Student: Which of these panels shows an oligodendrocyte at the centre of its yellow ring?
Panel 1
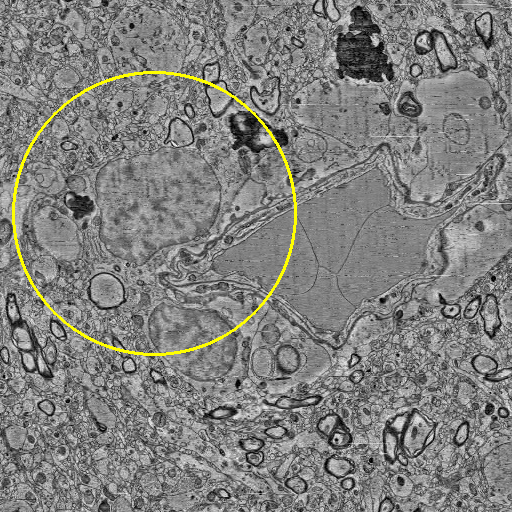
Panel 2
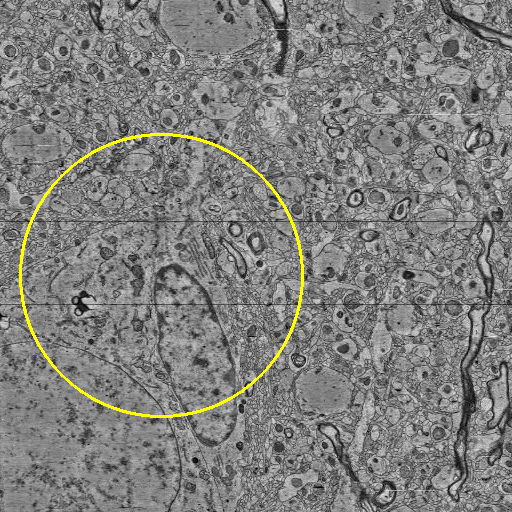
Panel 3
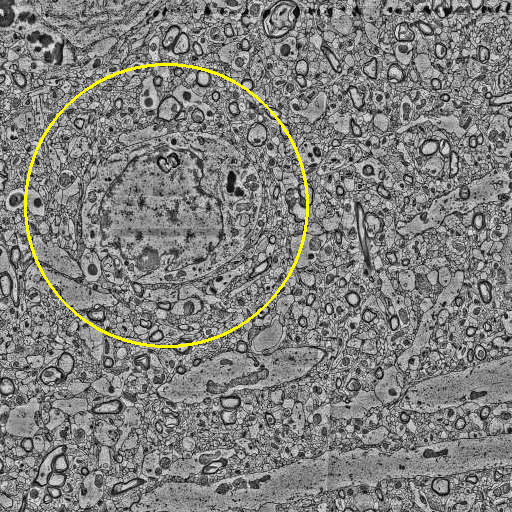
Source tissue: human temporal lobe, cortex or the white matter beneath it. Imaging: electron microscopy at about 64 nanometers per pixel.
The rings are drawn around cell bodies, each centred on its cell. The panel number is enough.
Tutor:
1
